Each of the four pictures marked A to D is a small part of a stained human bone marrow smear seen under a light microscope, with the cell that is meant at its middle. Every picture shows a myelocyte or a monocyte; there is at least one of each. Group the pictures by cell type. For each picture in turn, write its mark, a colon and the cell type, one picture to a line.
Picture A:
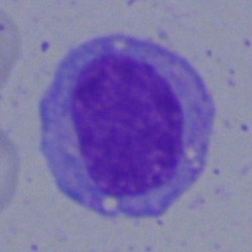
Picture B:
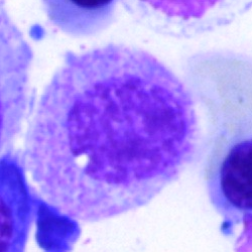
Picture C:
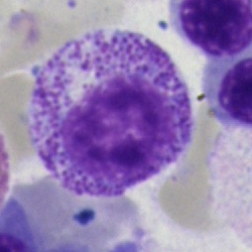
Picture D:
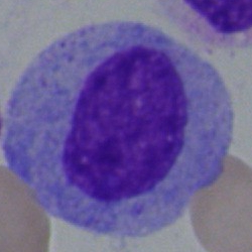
A: monocyte
B: myelocyte
C: myelocyte
D: myelocyte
